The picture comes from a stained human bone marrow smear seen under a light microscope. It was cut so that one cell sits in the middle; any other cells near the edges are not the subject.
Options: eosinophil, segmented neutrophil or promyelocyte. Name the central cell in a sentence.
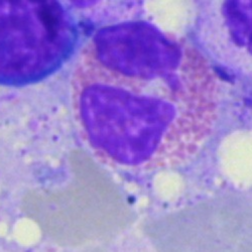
To answer, the cell in the center of the crop is an eosinophil.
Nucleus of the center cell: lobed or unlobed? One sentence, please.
Look at the nucleus and you will find it divided into two or more lobes.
